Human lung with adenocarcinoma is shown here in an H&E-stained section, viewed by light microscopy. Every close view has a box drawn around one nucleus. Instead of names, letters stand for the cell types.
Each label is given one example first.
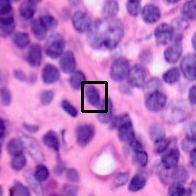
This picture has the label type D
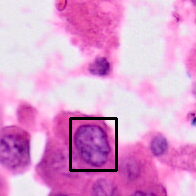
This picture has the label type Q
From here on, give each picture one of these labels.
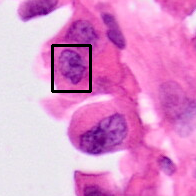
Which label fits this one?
type Q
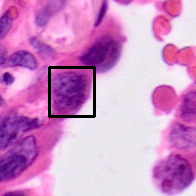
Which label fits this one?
type Q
